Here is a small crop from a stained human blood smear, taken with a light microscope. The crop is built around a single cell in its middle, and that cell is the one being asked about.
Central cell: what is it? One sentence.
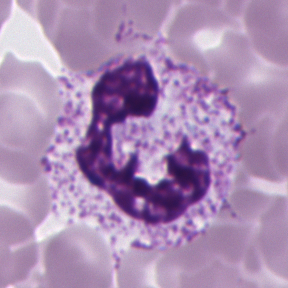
This crop's central cell is a neutrophil.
